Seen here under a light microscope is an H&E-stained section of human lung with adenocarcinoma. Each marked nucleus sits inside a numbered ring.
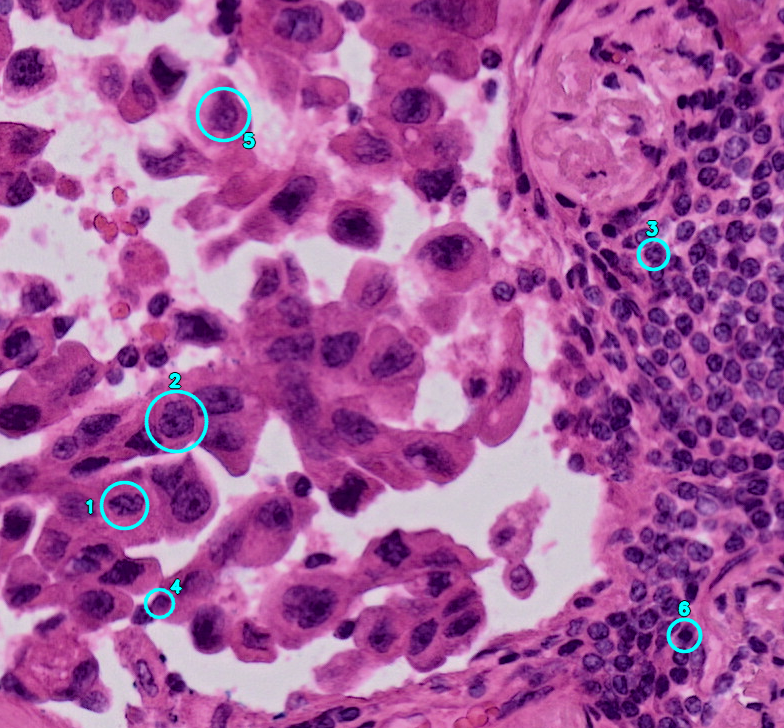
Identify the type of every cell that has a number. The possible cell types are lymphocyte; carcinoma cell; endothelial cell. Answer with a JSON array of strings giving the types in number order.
["carcinoma cell", "carcinoma cell", "lymphocyte", "carcinoma cell", "carcinoma cell", "lymphocyte"]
